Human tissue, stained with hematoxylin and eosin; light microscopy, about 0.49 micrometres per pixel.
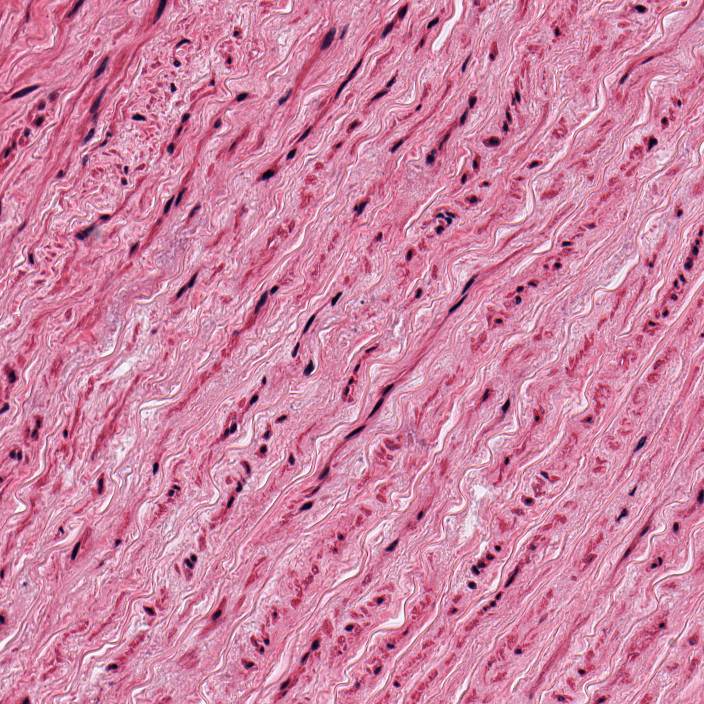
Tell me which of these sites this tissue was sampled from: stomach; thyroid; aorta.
aorta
